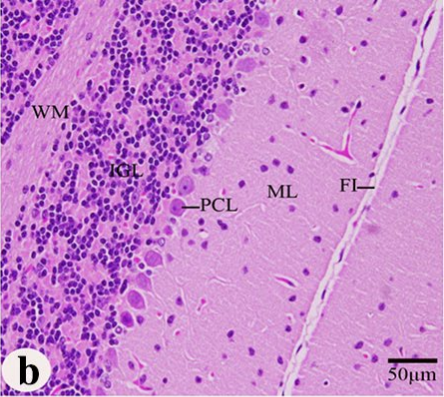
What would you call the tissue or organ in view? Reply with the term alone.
Cerebellum cortex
